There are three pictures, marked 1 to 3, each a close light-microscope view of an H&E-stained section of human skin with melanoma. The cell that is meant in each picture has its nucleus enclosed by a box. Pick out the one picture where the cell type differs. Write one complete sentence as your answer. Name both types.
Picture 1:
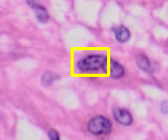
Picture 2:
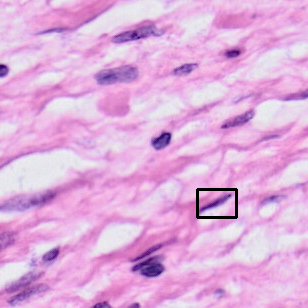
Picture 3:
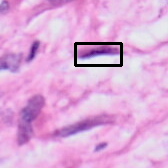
The different one is picture 1; it shows a “macrophage or monocyte”, whereas all the others show “fibroblasts or myofibroblasts”.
